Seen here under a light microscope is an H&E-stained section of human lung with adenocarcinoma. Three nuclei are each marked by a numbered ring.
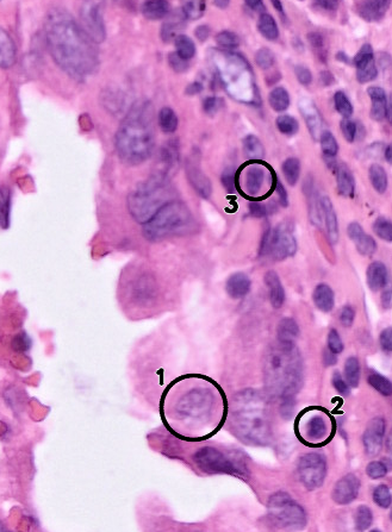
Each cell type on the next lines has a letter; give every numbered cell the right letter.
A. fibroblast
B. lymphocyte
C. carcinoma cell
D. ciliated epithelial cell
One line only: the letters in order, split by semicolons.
C; B; B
